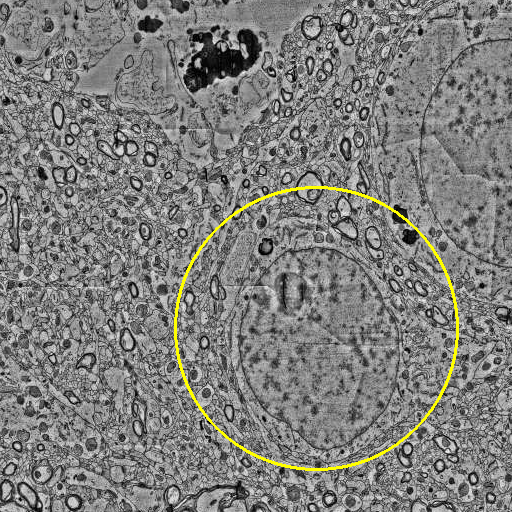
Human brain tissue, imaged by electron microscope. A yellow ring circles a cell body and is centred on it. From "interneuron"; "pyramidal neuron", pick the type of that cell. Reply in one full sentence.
The cell body at the centre of the yellow ring belongs to a pyramidal neuron.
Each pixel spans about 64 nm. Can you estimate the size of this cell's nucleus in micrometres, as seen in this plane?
In this plane the nucleus spans approximately 13 by 10 micrometers.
